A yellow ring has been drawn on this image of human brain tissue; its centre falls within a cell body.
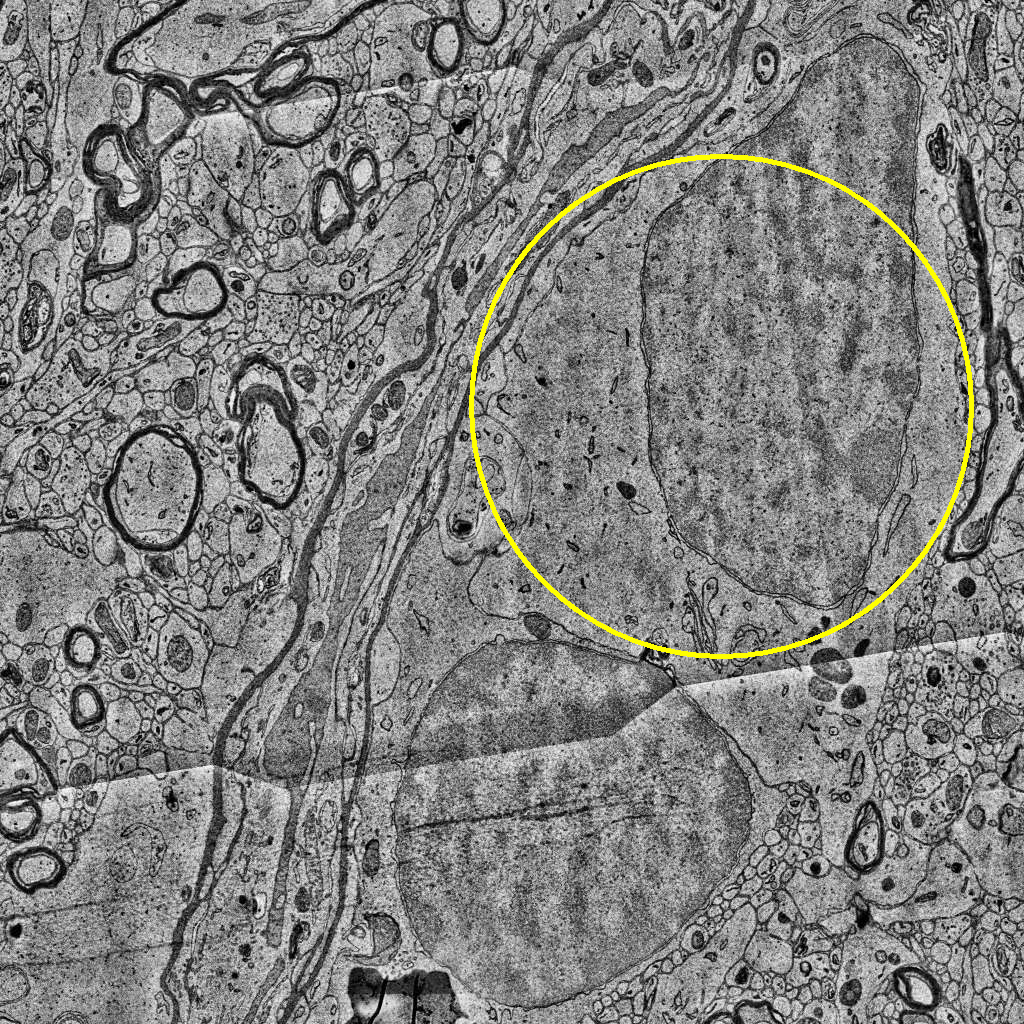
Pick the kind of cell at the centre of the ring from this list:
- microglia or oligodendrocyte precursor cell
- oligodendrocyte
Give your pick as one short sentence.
The centre of the ring holds a microglial cell or oligodendrocyte precursor cell.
